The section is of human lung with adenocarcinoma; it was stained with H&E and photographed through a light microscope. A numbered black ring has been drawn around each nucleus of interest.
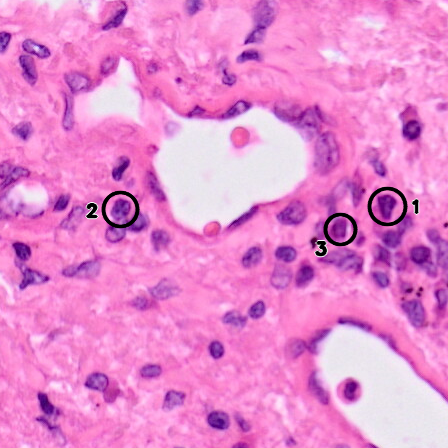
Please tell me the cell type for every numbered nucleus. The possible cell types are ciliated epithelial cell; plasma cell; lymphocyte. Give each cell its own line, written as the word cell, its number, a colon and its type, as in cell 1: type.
cell 1: plasma cell
cell 2: lymphocyte
cell 3: plasma cell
